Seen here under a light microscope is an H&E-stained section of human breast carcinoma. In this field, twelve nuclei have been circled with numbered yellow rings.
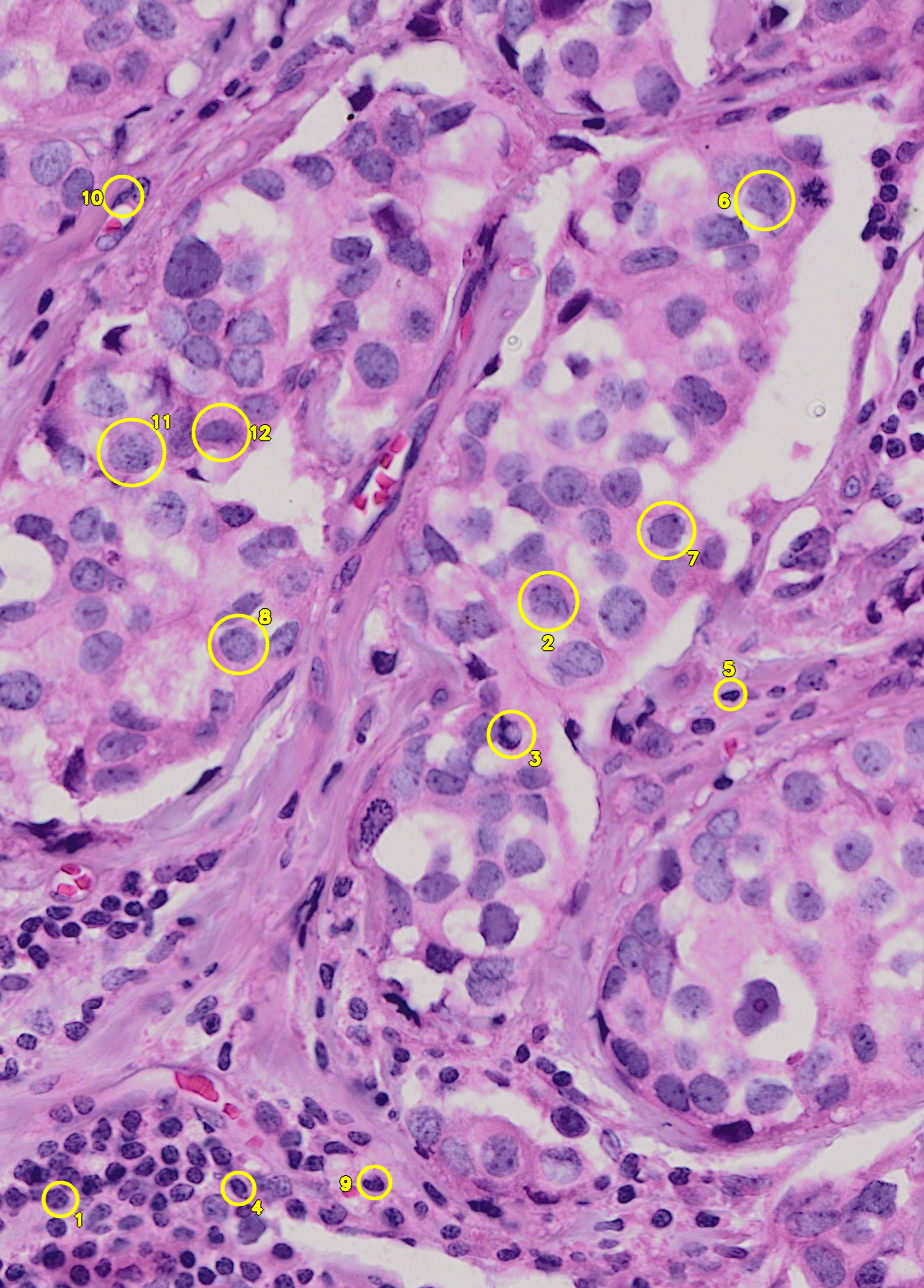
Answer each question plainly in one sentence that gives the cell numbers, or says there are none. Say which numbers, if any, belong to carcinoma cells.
The cells referred to by numbers 2, 3, 6, 7, 8, 11 and 12 are carcinoma cells.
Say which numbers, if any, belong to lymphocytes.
The cells assigned the numbers 1, 4, 5 and 9 are lymphocytes.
